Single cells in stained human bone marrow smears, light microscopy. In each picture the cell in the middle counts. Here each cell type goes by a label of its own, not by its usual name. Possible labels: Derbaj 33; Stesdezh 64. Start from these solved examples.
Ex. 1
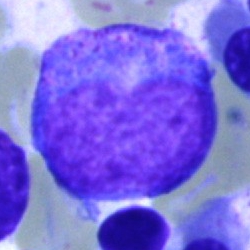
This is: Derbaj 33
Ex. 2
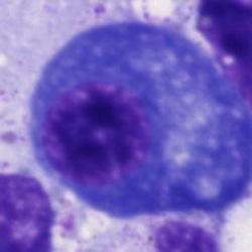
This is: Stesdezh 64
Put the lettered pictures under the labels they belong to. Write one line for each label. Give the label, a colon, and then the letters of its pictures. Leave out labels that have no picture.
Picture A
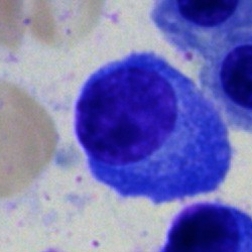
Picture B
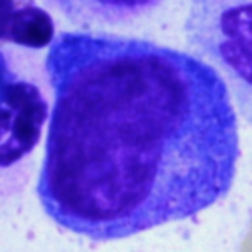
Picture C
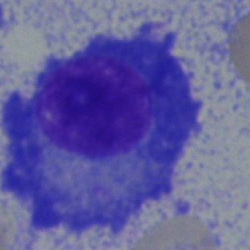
Derbaj 33: B
Stesdezh 64: A, C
